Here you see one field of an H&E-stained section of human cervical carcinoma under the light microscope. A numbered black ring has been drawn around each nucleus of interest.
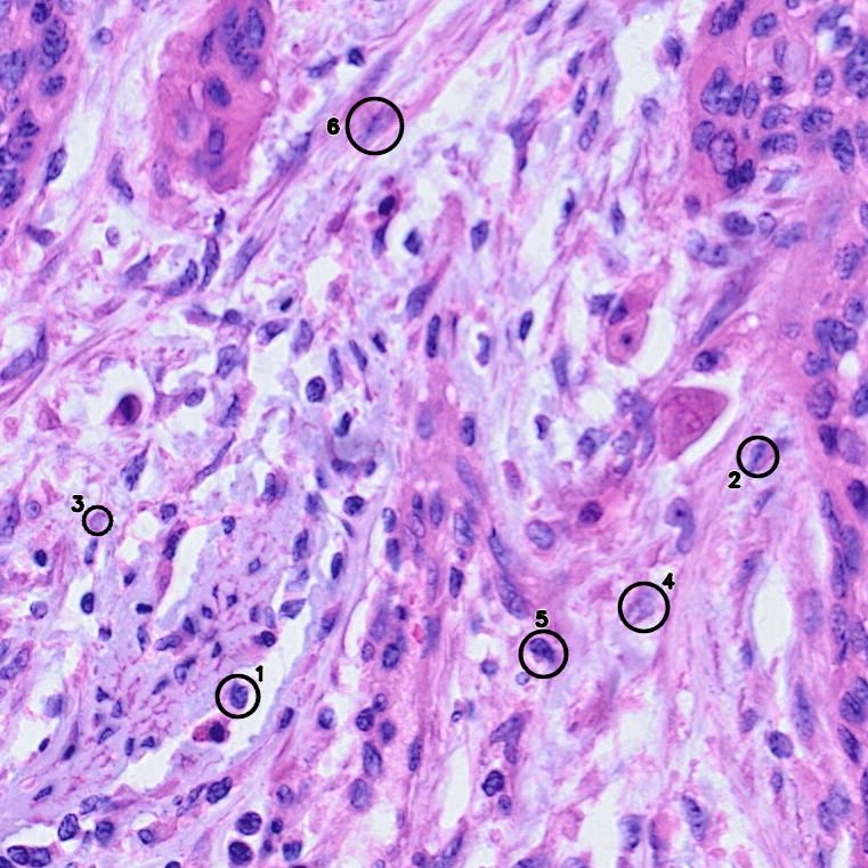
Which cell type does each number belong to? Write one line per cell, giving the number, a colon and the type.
1: lymphocyte
2: fibroblast
3: fibroblast
4: fibroblast
5: lymphocyte
6: fibroblast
